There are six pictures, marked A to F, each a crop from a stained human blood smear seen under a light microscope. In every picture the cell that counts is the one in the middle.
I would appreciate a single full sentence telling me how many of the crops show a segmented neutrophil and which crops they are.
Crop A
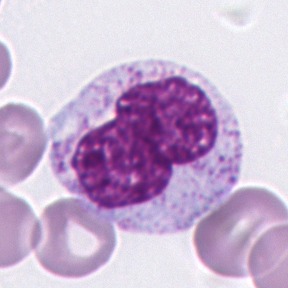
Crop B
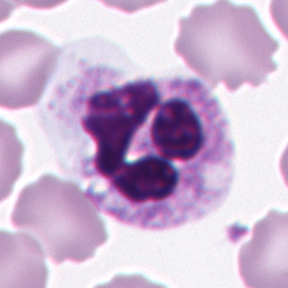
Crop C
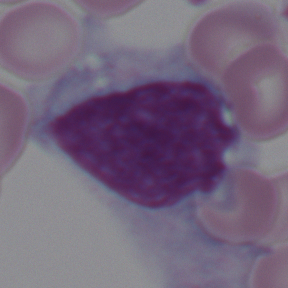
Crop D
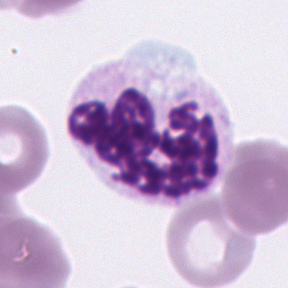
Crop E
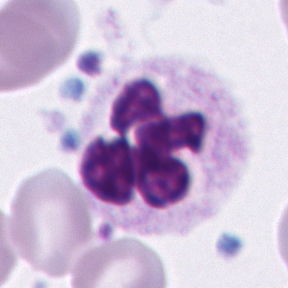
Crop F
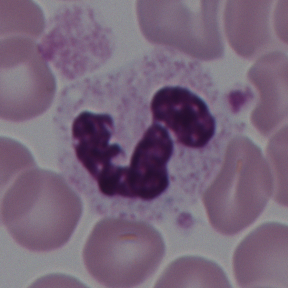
Taken together, crops B, D, E and F make up the four that show segmented neutrophils.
